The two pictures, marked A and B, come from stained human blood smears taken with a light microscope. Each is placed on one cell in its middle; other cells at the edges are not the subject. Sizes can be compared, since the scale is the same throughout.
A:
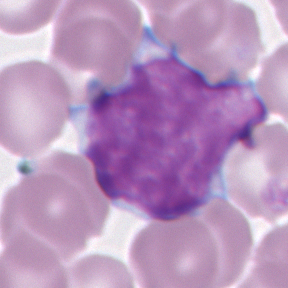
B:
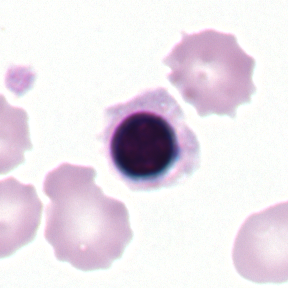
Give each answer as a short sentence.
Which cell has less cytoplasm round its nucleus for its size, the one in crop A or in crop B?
Of the two, the nucleus in crop A makes up the greater part of its cell.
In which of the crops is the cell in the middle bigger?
The cell in crop A is larger, with about 3 times the area of the one in crop B.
